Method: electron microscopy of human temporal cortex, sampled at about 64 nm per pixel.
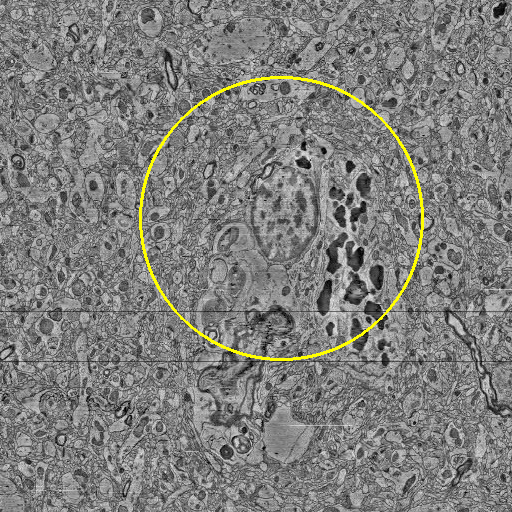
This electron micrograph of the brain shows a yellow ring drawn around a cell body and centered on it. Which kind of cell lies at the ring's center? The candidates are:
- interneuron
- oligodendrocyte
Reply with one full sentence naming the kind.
The cell lying at the ring's center in this micrograph is an oligodendrocyte.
